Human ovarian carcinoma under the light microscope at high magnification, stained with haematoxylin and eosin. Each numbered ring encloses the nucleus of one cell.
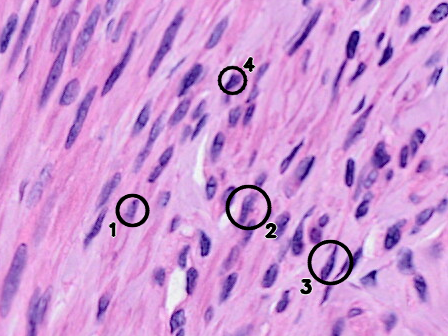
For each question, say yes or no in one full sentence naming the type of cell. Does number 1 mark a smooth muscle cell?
Yes, and to answer plainly, cell 1 is a smooth muscle cell.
